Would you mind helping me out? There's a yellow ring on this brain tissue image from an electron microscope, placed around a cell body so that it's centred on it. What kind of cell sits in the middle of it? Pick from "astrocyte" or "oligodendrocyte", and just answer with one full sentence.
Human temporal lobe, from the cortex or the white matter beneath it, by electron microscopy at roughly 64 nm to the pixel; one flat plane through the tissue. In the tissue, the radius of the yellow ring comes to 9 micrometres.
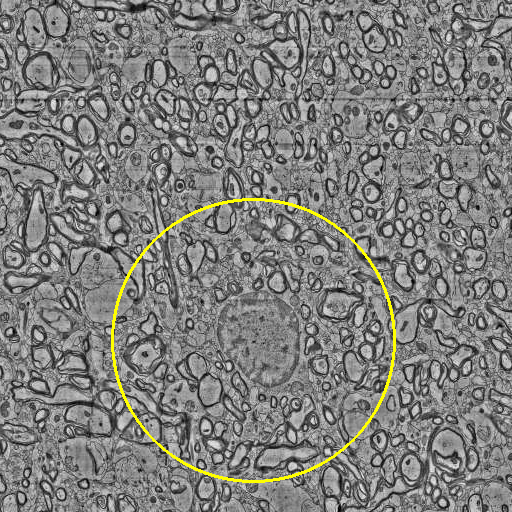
What sits in the middle of that yellow ring is an oligodendrocyte, from your choices.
